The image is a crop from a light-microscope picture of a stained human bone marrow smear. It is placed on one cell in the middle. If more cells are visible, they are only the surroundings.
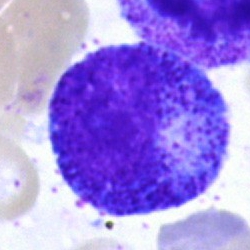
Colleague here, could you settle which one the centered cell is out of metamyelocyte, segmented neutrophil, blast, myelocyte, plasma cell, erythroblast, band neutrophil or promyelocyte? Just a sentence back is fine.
The cell occupying the middle of the crop is a promyelocyte.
